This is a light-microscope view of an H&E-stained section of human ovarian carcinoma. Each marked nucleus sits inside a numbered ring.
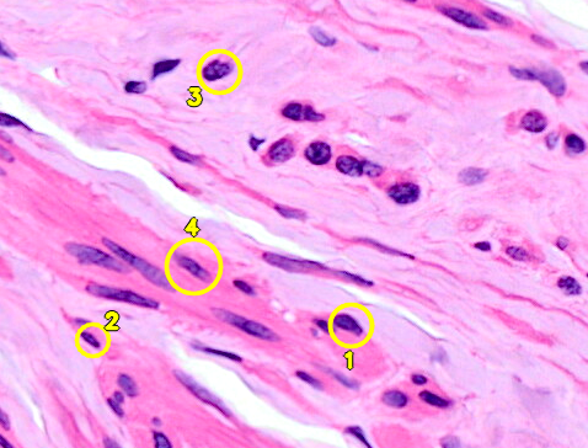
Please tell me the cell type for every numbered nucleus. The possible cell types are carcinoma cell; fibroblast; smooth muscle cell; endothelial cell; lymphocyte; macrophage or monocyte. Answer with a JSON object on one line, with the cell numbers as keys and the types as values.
{"1": "smooth muscle cell", "2": "smooth muscle cell", "3": "lymphocyte", "4": "smooth muscle cell"}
